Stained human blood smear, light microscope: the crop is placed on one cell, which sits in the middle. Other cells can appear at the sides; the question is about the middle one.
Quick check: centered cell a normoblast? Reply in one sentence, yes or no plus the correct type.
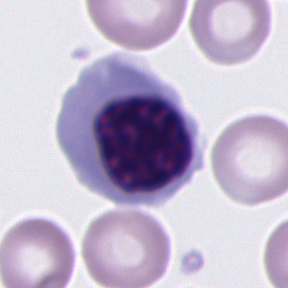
Yes, the crop is centred on a normoblast.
